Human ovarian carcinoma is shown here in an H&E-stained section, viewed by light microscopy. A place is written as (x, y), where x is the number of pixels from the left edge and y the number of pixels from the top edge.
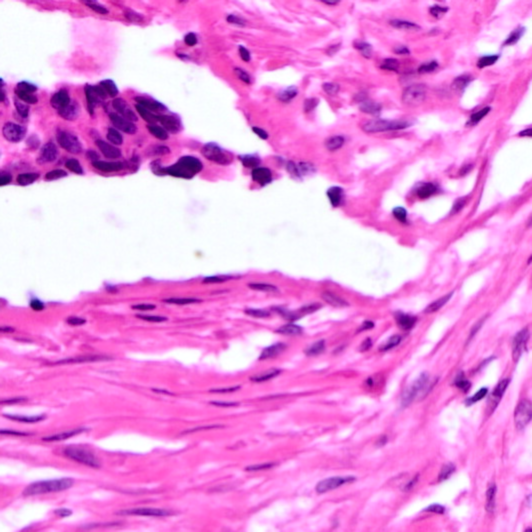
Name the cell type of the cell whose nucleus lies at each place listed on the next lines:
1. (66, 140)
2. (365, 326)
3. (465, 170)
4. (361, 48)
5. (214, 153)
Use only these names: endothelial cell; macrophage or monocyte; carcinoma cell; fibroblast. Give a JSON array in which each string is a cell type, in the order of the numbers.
["carcinoma cell", "fibroblast", "fibroblast", "fibroblast", "carcinoma cell"]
